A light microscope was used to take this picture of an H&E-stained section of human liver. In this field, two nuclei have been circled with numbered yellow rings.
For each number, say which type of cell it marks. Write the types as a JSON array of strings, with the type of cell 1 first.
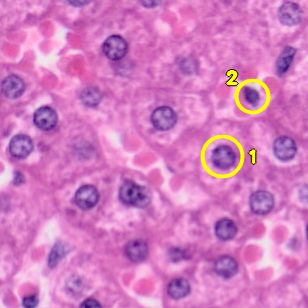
["hepatocyte", "lymphocyte"]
